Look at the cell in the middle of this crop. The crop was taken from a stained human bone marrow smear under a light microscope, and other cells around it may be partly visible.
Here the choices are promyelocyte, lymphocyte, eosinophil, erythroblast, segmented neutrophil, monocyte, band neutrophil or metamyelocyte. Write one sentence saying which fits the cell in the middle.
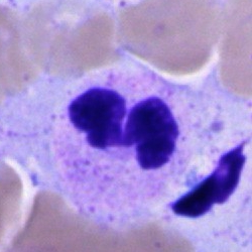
This crop's central cell is a segmented neutrophil.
